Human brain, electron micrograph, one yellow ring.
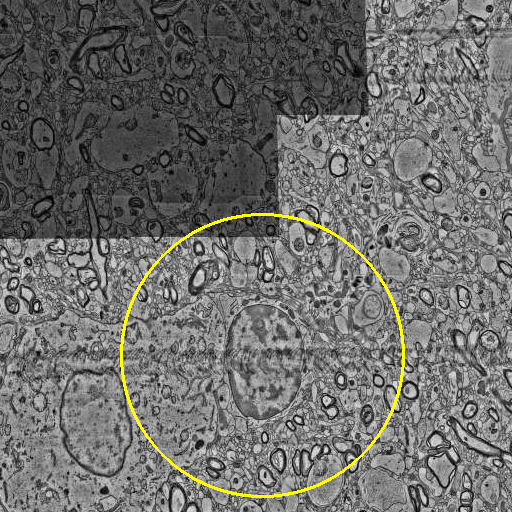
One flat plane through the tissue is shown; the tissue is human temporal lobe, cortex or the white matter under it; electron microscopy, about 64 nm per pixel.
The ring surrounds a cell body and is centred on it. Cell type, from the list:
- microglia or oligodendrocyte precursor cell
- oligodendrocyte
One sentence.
The yellow ring circles a microglial cell or oligodendrocyte precursor cell.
